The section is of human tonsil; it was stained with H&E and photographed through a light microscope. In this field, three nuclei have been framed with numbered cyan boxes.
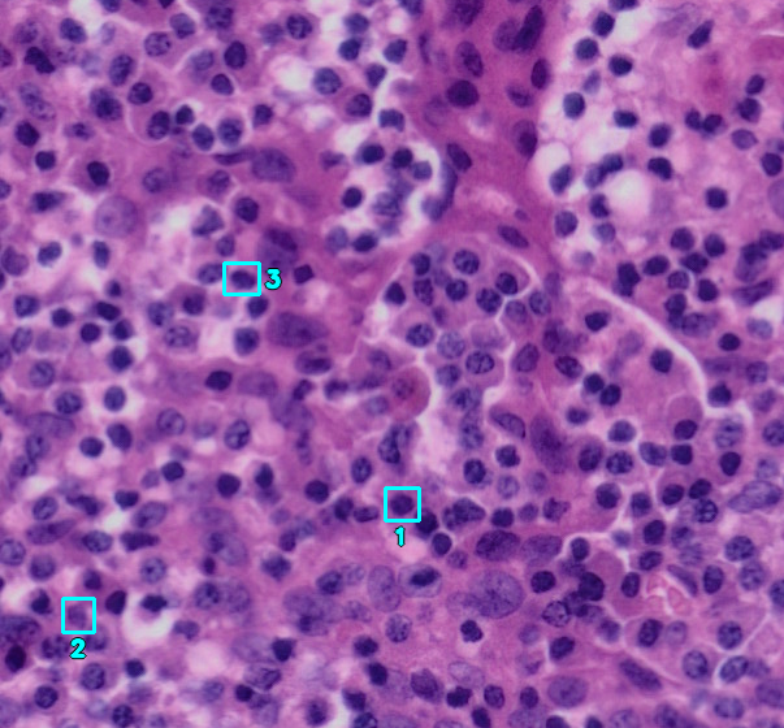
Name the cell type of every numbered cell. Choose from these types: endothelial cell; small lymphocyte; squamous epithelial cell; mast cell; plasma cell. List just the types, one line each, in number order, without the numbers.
plasma cell
plasma cell
squamous epithelial cell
